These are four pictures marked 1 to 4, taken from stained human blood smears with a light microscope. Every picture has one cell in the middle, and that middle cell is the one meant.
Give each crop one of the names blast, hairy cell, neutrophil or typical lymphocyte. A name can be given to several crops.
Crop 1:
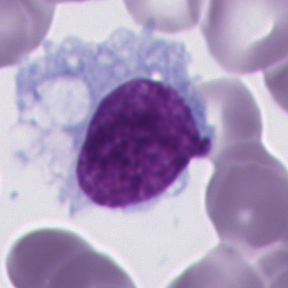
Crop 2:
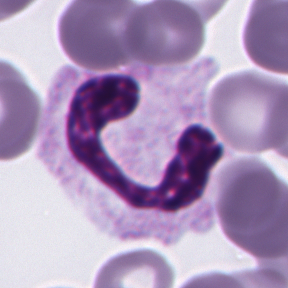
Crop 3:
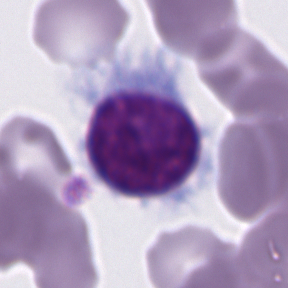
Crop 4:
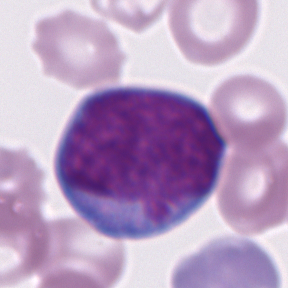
1: hairy cell
2: neutrophil
3: hairy cell
4: blast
